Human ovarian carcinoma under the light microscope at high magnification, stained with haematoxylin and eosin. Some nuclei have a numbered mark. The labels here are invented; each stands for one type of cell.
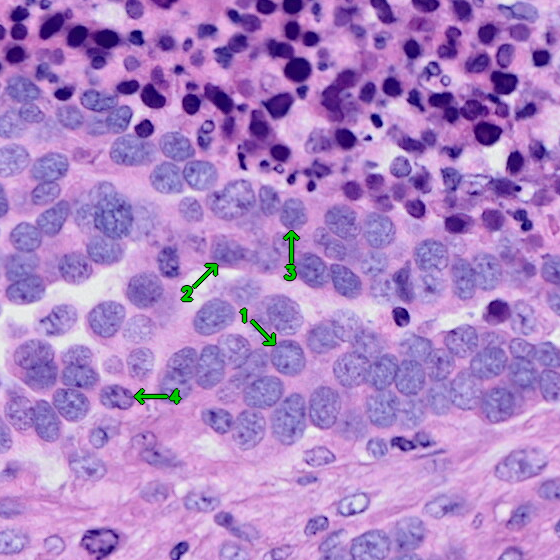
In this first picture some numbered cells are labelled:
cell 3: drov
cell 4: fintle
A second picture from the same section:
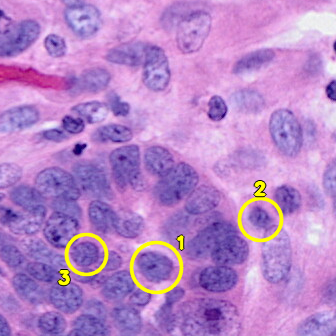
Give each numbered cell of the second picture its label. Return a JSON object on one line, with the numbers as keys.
{"1": "drov", "2": "fintle", "3": "drov"}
